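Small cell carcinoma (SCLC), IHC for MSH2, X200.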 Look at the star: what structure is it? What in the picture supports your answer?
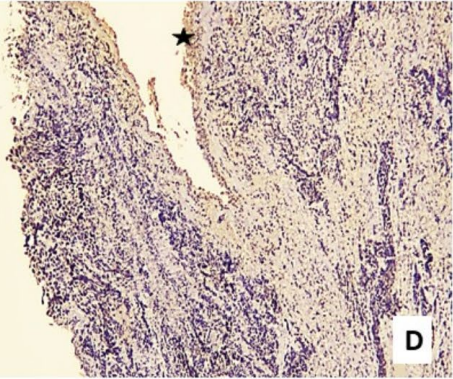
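Surface epithelium. The star marks the tissue edge facing an empty cleft. A thin brownish layer lines that edge.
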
